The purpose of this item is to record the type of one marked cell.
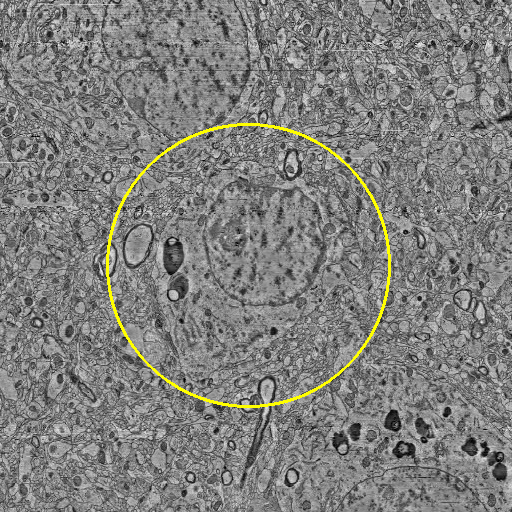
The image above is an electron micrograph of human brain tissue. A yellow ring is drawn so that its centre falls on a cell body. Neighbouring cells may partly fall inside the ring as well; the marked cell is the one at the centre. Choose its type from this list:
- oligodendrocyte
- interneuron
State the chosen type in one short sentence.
What the ring marks here is an interneuron.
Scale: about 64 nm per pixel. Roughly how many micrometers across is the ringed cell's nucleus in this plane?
The nucleus is about 8 micrometres across in this plane.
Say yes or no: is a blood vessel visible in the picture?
No, no blood vessel can be seen.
